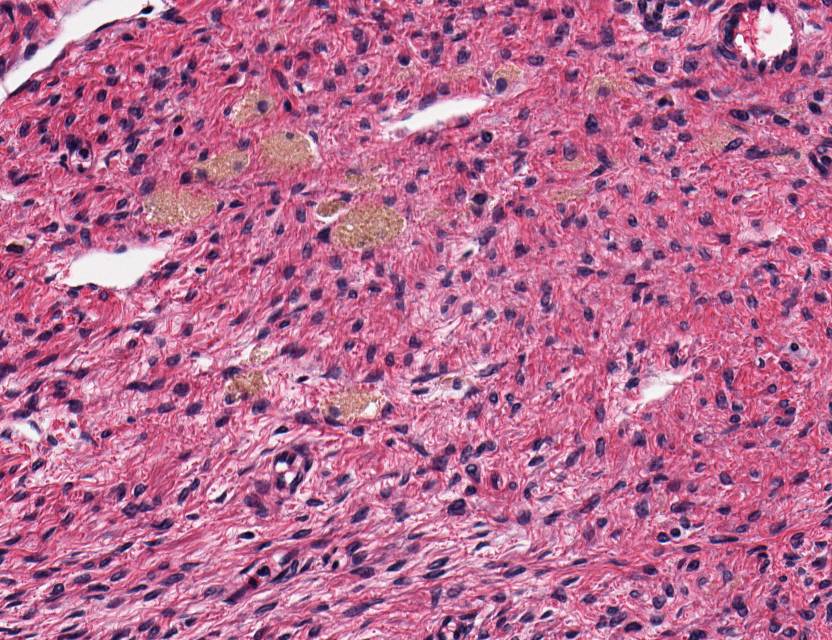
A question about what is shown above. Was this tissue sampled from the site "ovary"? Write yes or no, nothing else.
yes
